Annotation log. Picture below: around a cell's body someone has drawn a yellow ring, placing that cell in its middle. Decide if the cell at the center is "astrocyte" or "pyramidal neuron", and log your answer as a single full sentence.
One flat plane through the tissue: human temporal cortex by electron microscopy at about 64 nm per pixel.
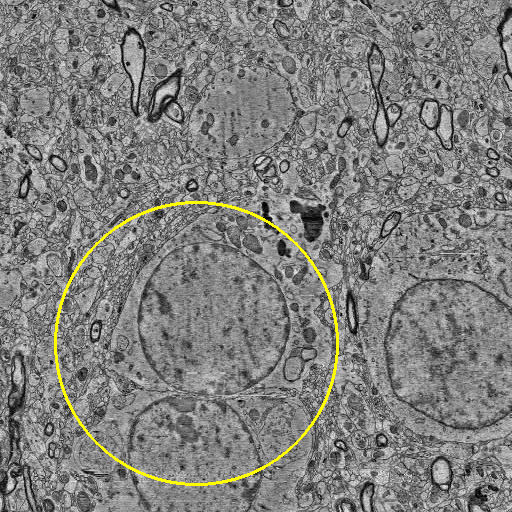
My entry records an astrocyte as the cell sitting at the center of the yellow ring.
